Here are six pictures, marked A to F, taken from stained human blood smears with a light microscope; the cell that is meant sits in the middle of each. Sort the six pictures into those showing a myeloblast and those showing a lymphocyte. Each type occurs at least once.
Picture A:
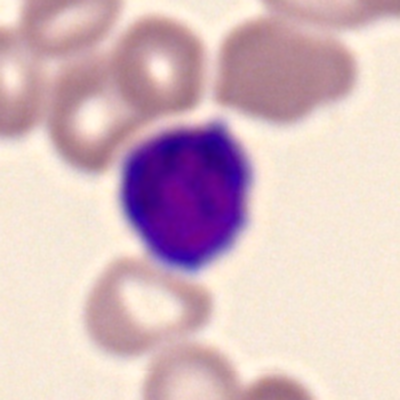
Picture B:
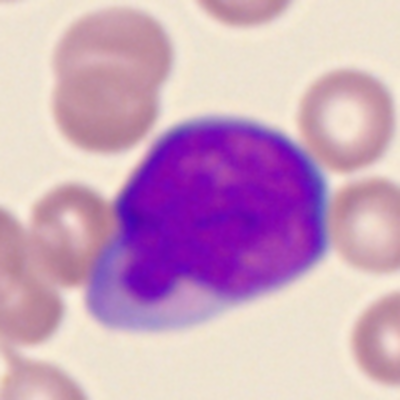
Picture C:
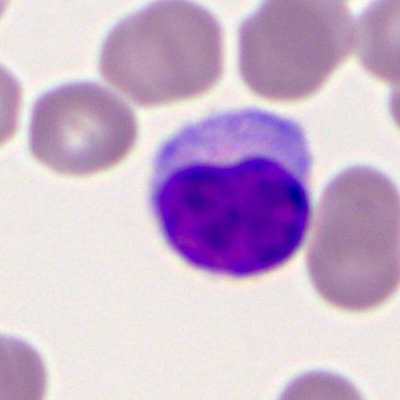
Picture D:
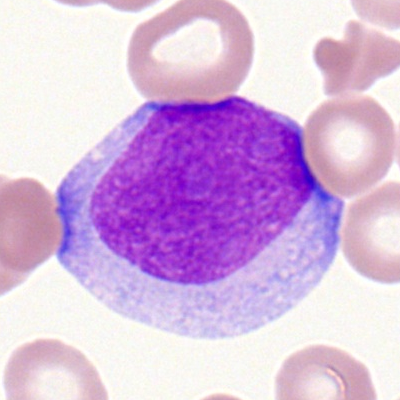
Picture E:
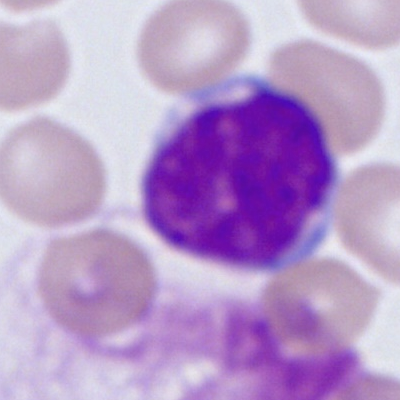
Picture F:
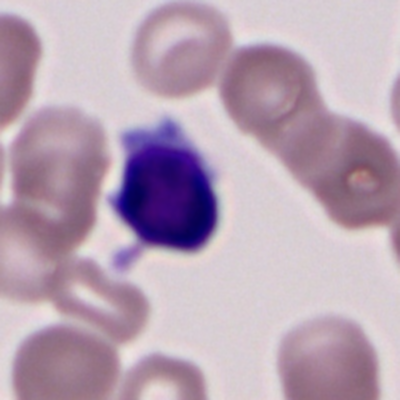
A: lymphocyte
B: myeloblast
C: lymphocyte
D: myeloblast
E: myeloblast
F: lymphocyte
